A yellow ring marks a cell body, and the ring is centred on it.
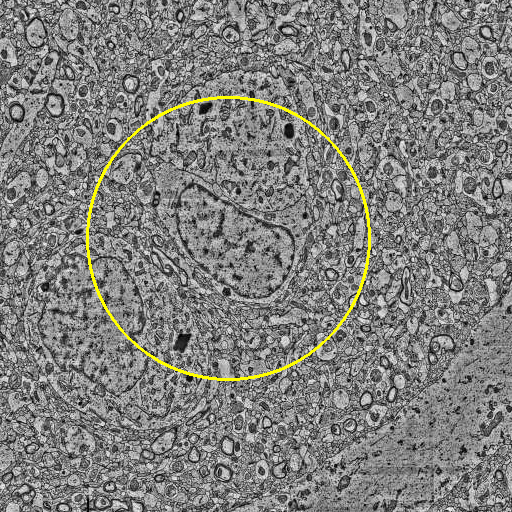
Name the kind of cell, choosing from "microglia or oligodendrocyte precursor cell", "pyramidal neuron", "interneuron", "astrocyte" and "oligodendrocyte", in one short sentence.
The marked cell body belongs to a microglial cell or oligodendrocyte precursor cell.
